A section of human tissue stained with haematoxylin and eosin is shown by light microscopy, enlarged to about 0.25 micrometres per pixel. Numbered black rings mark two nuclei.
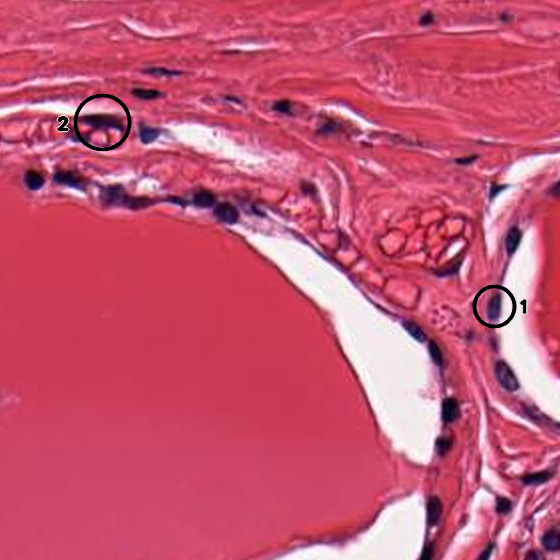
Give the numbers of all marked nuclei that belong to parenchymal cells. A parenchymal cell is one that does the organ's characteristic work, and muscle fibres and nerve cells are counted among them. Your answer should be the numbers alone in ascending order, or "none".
1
